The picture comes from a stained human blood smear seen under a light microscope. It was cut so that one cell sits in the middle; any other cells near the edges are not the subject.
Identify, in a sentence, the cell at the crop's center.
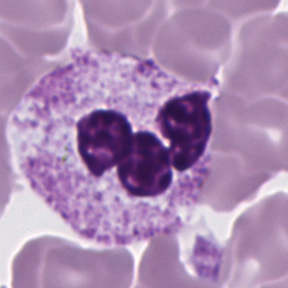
The cell featured at the centre of this crop is a neutrophil.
